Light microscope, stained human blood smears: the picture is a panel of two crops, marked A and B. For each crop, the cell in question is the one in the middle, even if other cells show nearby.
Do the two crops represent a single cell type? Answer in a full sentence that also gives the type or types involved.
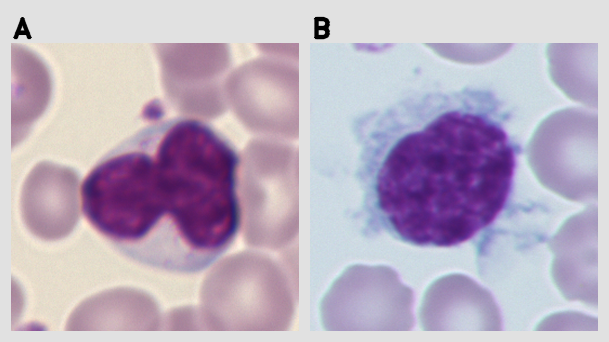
No, a hairy cell is the cell in crop B, and crop A contains a large granular lymphocyte.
